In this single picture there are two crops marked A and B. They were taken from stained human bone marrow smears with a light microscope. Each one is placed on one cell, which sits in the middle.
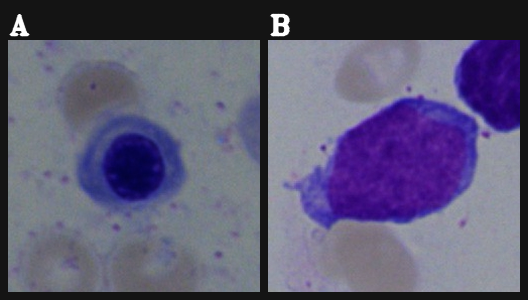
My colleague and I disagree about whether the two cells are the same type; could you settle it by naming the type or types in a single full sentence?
No, crop A carries an erythroblast at its centre, and crop B carries a blast.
